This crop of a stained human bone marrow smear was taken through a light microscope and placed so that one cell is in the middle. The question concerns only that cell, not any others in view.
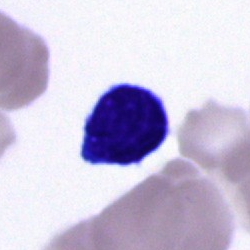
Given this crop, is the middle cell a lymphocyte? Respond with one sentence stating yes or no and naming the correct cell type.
Yes, the cell sitting in the center is a lymphocyte.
